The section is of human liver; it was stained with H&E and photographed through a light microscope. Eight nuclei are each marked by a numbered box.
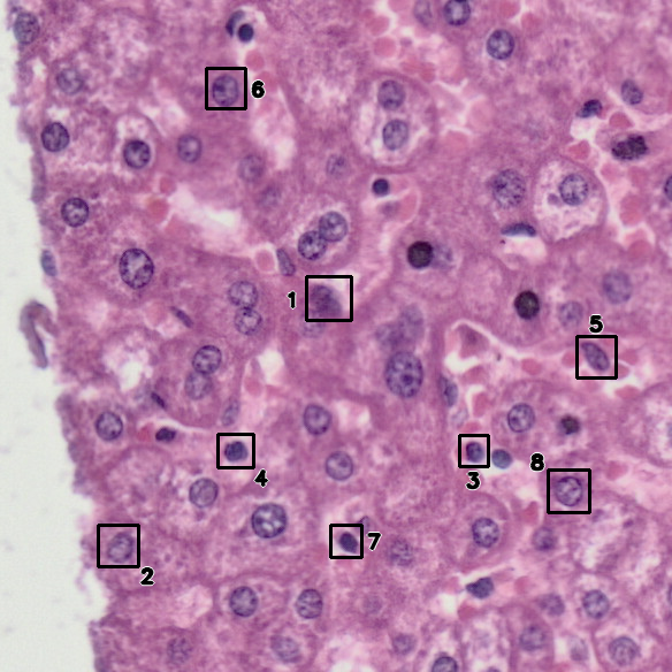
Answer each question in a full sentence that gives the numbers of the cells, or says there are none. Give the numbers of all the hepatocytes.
Identification: the cells with numbers 2, 6 and 8 are hepatocytes.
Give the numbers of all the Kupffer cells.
Of the numbered cells, only cell 5 is a Kupffer cell.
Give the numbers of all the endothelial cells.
Only number 1 of the marked cells is an endothelial cell.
